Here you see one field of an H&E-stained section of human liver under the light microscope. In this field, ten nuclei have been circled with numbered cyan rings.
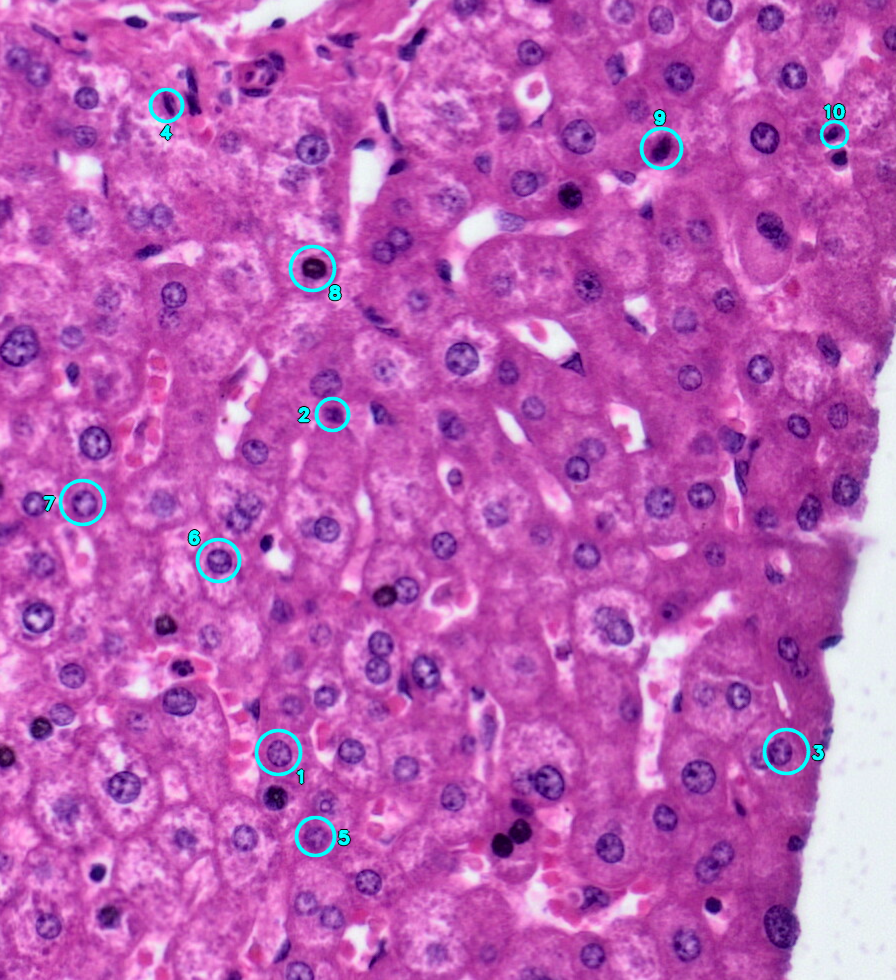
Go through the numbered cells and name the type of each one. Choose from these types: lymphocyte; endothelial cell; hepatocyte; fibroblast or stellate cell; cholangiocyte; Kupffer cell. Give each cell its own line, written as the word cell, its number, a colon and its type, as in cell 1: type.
cell 1: hepatocyte
cell 2: fibroblast or stellate cell
cell 3: hepatocyte
cell 4: fibroblast or stellate cell
cell 5: hepatocyte
cell 6: hepatocyte
cell 7: hepatocyte
cell 8: hepatocyte
cell 9: fibroblast or stellate cell
cell 10: fibroblast or stellate cell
